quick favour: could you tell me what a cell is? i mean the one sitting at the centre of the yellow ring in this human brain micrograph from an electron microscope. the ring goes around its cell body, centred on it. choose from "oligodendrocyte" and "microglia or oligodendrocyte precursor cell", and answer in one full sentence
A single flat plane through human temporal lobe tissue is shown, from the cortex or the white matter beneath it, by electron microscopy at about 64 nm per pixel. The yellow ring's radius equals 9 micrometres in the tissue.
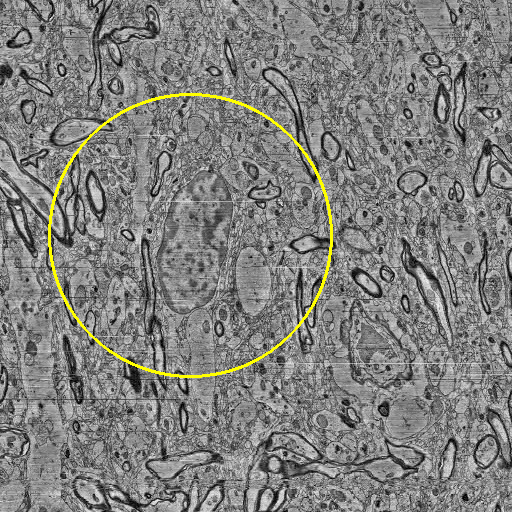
That's a microglial cell or oligodendrocyte precursor cell, the cell sitting at the centre of the yellow ring.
